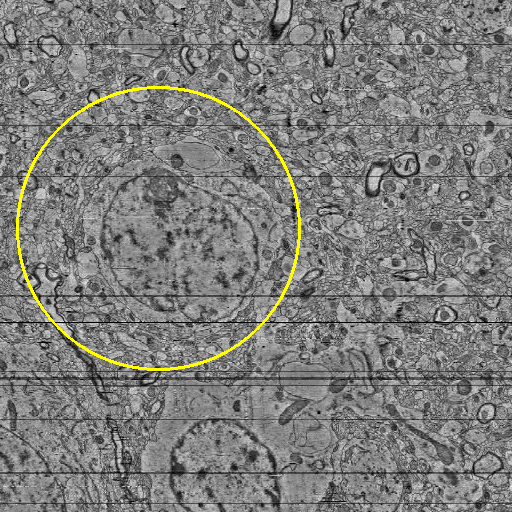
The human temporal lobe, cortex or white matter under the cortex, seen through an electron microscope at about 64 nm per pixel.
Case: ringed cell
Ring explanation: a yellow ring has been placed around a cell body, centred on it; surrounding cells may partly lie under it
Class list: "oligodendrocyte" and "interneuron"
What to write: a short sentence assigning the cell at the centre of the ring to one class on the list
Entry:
The cell at the ring's centre is an interneuron.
